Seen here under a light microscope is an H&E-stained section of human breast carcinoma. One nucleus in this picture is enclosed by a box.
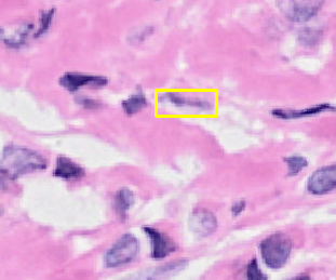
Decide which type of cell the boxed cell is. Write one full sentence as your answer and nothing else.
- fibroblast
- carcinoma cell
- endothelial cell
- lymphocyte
By cell type, the boxed cell is a fibroblast.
